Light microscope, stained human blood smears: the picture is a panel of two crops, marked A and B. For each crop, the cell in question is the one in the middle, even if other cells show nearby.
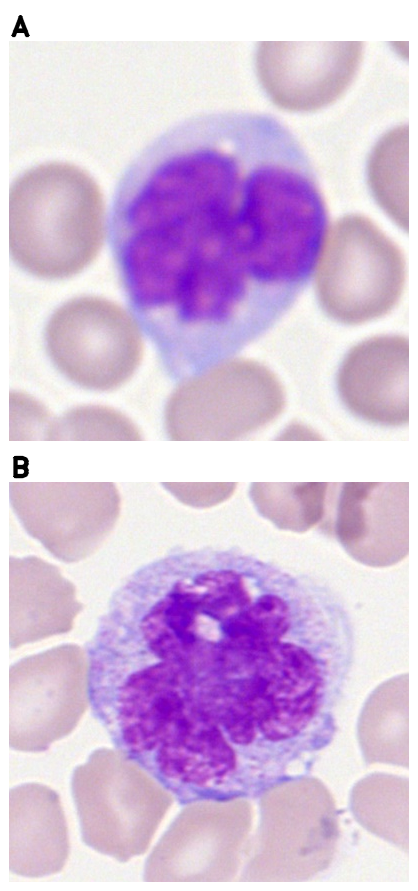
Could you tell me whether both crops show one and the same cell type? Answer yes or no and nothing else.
yes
